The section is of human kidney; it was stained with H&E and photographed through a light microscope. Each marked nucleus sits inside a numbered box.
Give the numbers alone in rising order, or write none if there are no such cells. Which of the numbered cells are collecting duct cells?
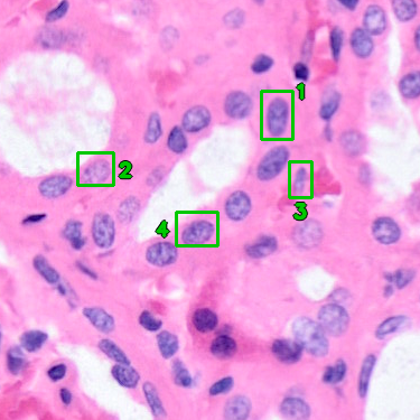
1, 4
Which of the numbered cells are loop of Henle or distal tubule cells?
2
